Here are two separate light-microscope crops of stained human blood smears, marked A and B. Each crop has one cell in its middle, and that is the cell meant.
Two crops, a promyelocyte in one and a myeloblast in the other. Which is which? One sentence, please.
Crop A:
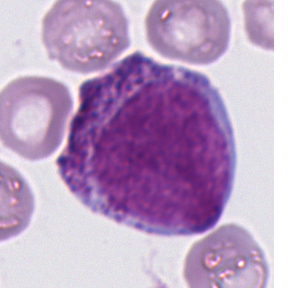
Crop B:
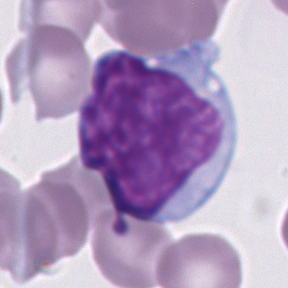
The cell that crop A centres on is a promyelocyte, and the cell that crop B centres on is a myeloblast.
